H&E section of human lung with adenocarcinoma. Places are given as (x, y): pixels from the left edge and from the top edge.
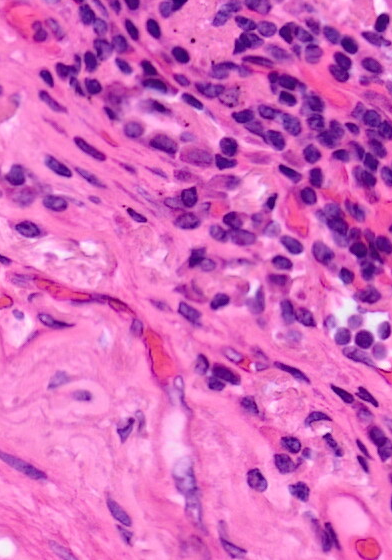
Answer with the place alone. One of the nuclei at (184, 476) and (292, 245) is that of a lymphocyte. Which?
(292, 245)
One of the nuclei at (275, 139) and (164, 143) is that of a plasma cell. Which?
(164, 143)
